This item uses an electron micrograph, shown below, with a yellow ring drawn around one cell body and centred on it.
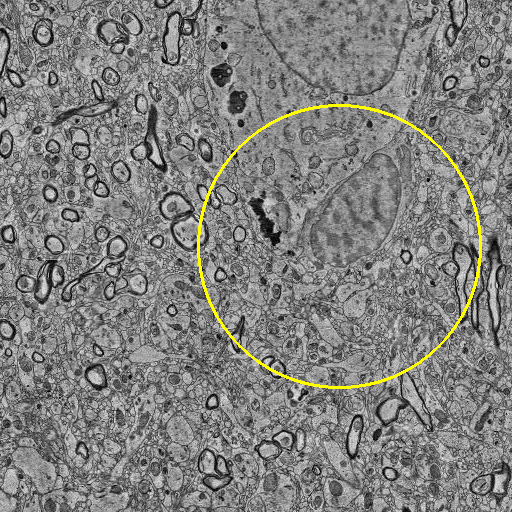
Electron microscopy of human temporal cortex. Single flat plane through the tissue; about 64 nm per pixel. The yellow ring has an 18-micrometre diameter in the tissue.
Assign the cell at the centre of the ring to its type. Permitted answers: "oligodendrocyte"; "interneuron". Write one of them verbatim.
oligodendrocyte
